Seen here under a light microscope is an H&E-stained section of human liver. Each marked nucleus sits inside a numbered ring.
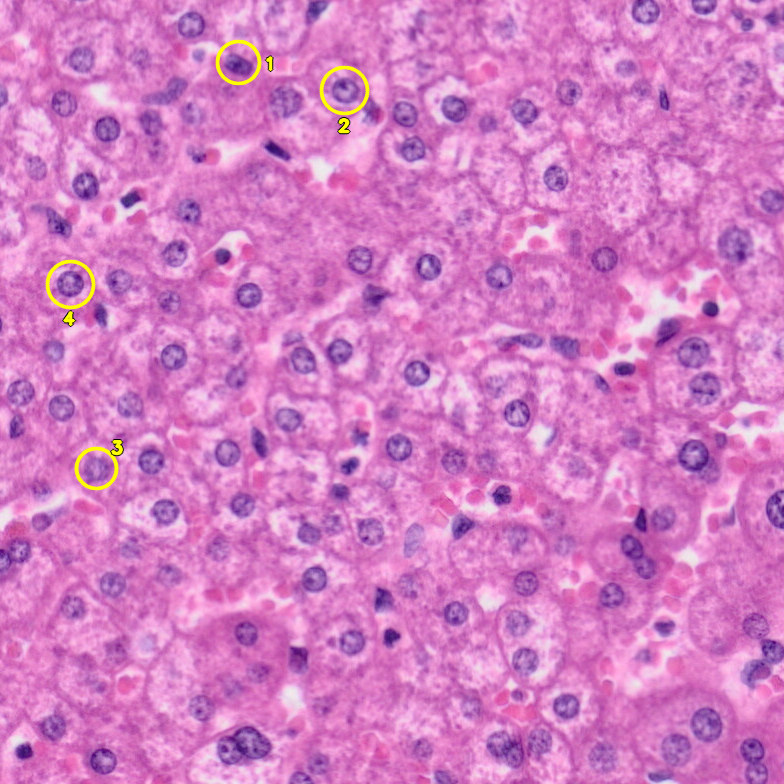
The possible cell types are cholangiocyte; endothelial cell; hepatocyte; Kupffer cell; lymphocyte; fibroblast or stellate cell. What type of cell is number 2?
hepatocyte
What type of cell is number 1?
fibroblast or stellate cell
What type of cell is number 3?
hepatocyte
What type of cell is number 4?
hepatocyte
